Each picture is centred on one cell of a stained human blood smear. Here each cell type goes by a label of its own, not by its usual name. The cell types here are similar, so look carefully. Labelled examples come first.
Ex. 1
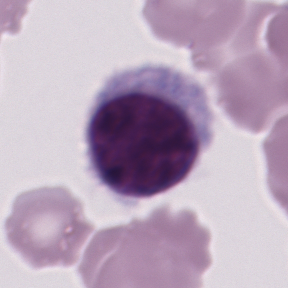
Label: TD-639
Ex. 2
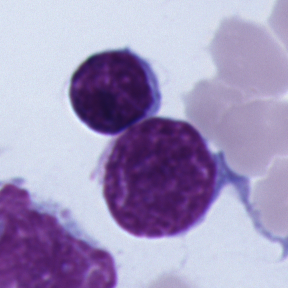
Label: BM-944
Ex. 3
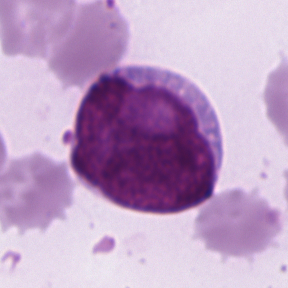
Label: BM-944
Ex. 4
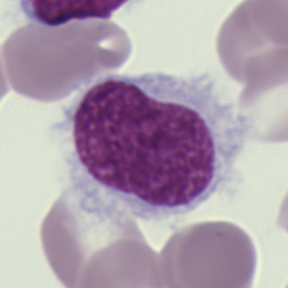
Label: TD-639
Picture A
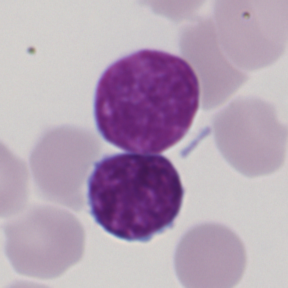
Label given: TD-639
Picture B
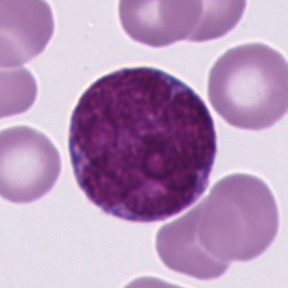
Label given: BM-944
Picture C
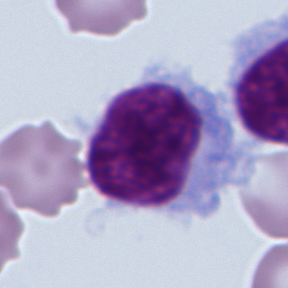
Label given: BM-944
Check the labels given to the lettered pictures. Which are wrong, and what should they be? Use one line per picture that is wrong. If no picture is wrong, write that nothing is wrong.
A: BM-944, not TD-639
C: TD-639, not BM-944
